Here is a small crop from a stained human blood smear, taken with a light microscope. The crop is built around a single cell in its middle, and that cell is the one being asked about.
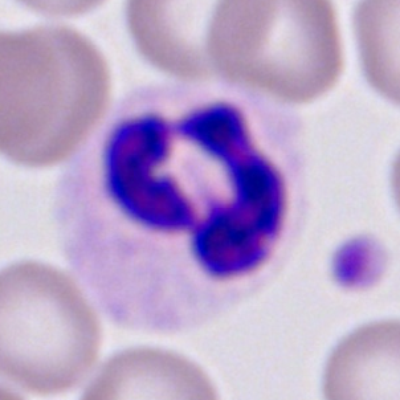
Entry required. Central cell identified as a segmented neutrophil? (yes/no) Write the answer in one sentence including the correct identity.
Yes, the cell that the crop is centred on is a segmented neutrophil.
